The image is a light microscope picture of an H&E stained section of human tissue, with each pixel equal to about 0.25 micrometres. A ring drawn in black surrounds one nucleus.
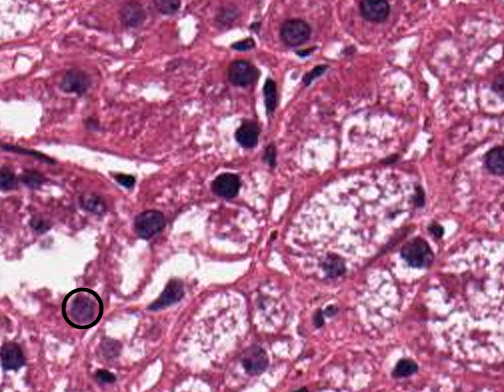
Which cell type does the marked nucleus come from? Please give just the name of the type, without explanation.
adrenal cortical cell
